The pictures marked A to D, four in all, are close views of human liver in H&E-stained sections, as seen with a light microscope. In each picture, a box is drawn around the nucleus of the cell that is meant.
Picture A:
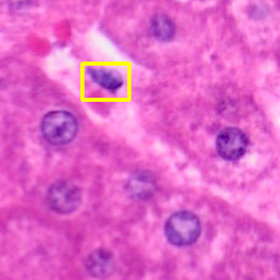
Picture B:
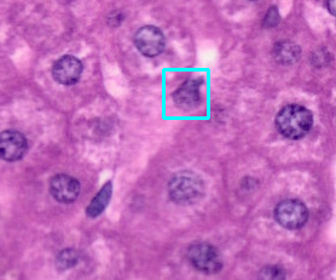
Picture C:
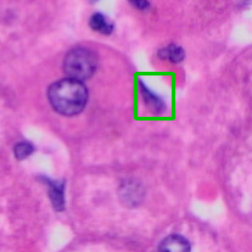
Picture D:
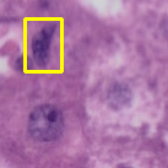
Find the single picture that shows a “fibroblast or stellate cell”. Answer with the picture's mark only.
D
